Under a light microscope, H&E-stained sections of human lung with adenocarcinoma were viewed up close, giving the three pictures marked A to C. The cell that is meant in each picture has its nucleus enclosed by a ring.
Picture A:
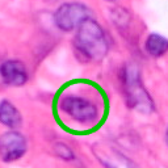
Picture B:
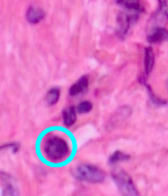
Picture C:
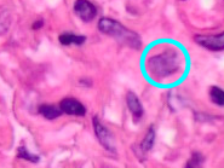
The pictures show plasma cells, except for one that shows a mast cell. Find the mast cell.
C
